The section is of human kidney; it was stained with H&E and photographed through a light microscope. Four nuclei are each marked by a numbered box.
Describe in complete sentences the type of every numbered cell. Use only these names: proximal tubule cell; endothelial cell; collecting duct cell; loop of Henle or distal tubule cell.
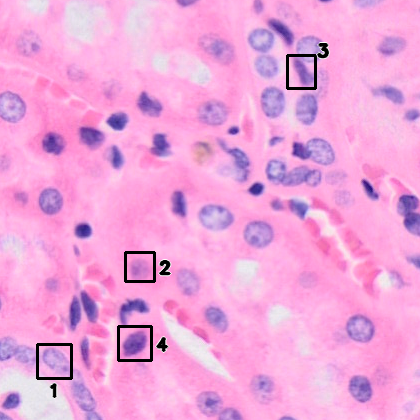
Cell 1 is a collecting duct cell, cell 2 is a proximal tubule cell, cell 3 is a collecting duct cell and cell 4 is a proximal tubule cell.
